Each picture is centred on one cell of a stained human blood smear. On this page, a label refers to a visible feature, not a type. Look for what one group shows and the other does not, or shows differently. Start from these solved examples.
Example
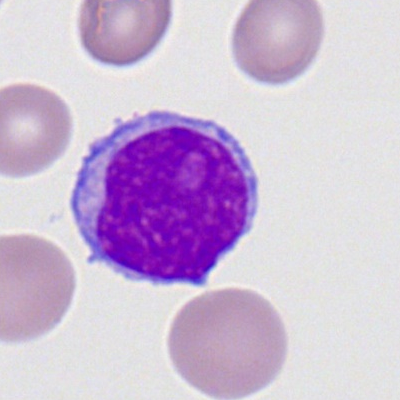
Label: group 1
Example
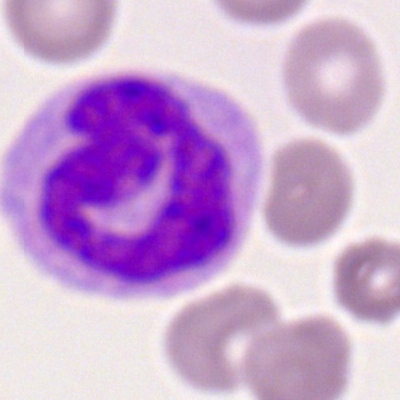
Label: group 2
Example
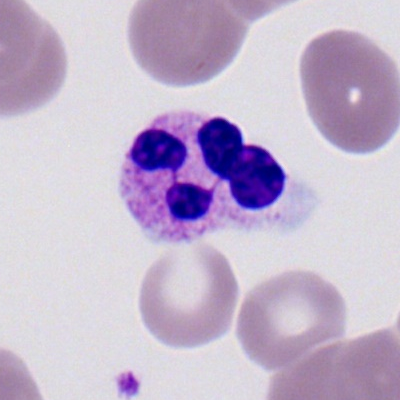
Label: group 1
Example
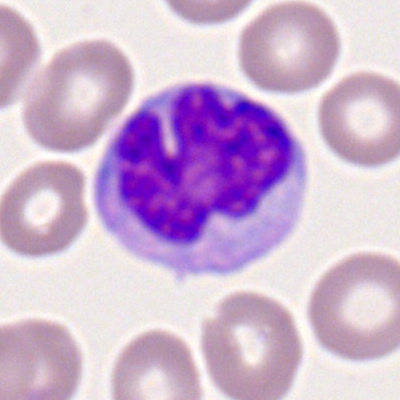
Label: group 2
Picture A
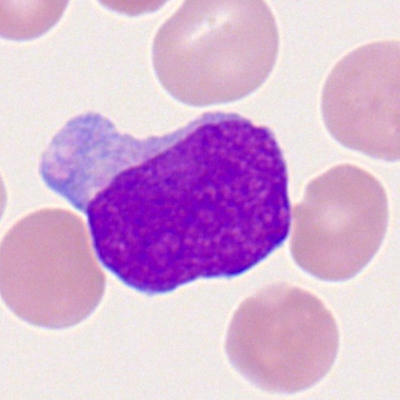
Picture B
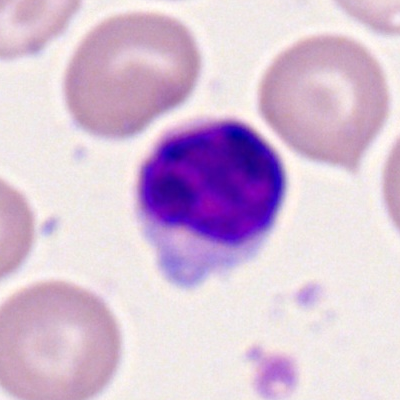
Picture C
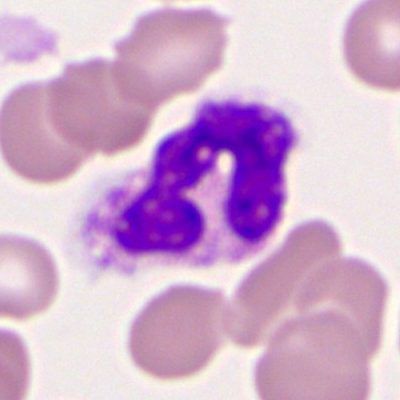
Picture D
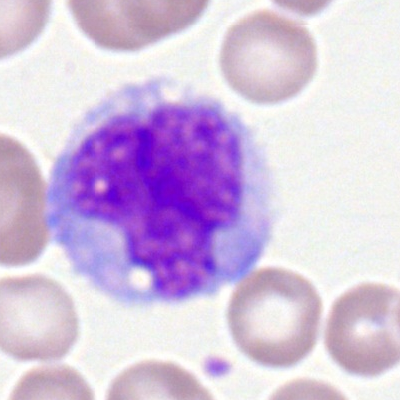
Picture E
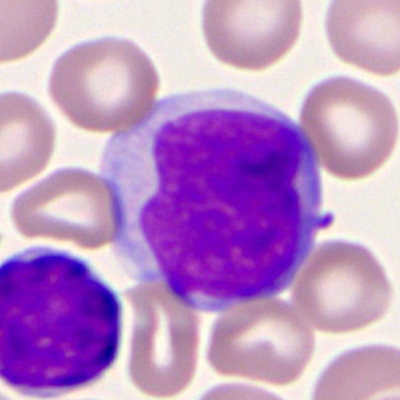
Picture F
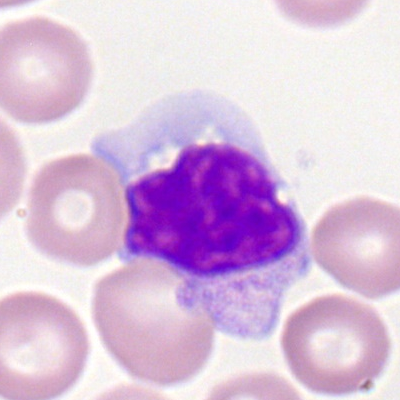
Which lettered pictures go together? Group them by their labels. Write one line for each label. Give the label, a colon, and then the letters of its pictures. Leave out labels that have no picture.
group 1: A, B, C, D, E, F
